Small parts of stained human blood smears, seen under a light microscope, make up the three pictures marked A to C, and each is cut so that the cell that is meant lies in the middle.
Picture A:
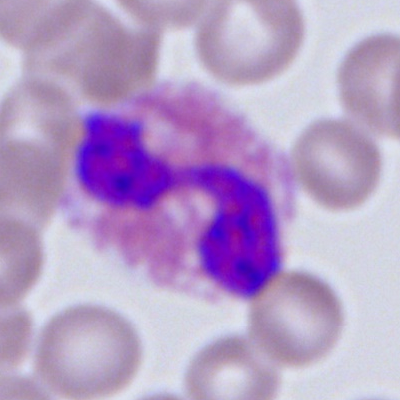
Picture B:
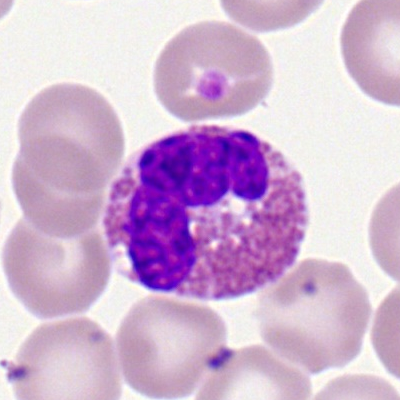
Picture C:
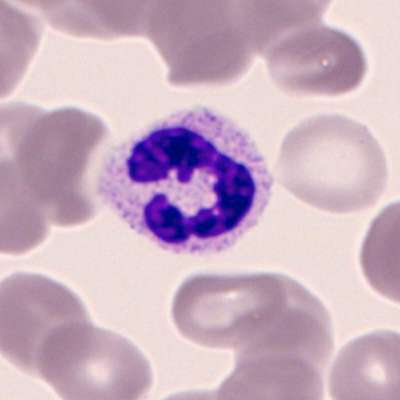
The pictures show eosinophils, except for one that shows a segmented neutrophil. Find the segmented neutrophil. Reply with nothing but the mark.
C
